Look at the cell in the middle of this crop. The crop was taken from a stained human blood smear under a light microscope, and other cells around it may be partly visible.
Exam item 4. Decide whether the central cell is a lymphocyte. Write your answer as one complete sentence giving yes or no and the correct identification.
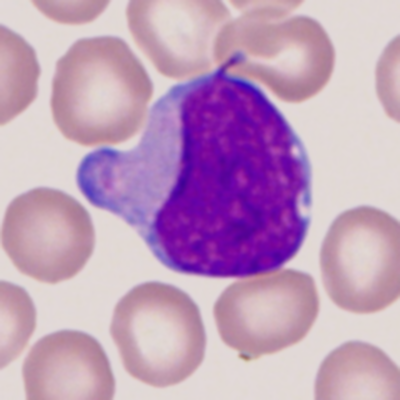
No, the central cell is identified not as a lymphocyte but as a myeloblast.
